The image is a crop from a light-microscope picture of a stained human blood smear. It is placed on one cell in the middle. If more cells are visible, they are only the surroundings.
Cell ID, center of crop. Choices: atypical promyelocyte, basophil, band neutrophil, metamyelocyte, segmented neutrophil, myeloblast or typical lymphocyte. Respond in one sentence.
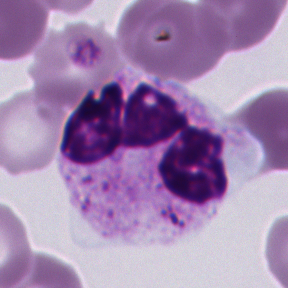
As for the cell in the middle, it is a segmented neutrophil.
